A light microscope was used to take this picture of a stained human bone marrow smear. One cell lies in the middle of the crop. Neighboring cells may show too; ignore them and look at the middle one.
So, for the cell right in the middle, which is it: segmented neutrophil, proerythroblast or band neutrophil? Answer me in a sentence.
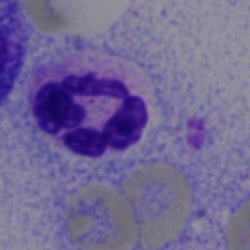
What the crop centres on is a segmented neutrophil.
